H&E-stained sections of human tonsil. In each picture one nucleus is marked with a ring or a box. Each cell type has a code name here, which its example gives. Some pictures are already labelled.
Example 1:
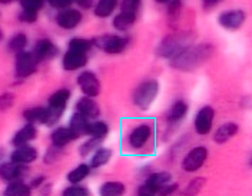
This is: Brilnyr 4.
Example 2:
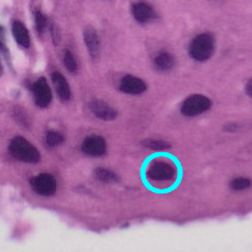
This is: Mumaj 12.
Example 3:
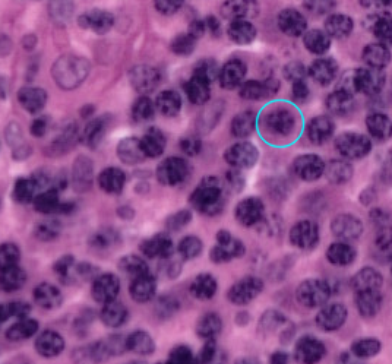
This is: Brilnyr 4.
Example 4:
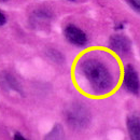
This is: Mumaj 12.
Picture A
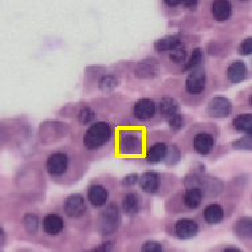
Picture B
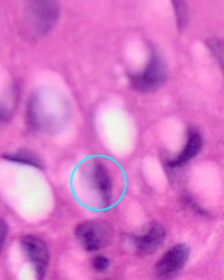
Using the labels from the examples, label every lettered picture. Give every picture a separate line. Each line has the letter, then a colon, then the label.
A: Brilnyr 4.
B: Mumaj 12.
